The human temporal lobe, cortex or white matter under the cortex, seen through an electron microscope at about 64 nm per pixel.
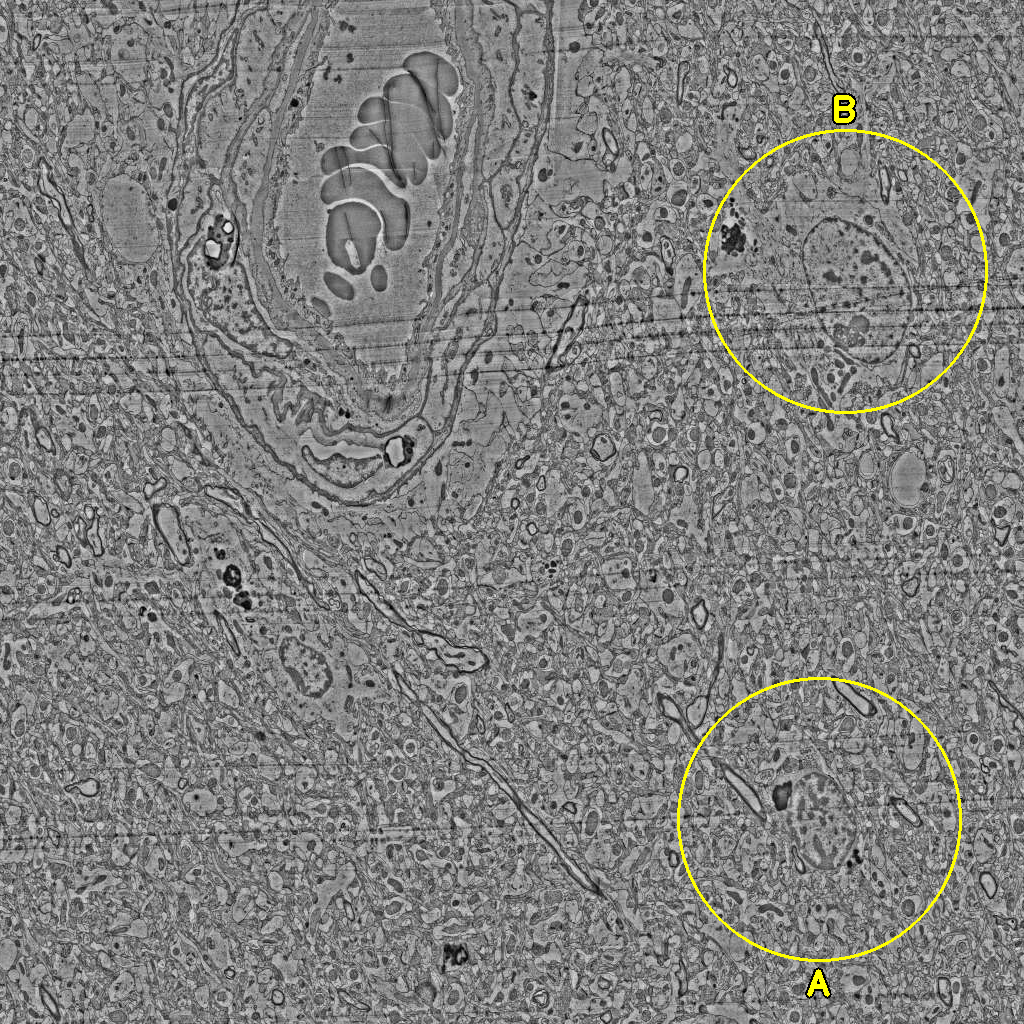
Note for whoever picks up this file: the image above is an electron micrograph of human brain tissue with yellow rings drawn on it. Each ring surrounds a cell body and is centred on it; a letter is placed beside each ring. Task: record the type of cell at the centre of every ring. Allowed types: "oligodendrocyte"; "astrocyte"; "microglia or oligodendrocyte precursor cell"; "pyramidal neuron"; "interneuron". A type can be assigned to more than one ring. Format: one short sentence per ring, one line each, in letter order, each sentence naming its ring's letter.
The ring marked A is centred on an oligodendrocyte.
The ring marked B is centred on an astrocyte.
